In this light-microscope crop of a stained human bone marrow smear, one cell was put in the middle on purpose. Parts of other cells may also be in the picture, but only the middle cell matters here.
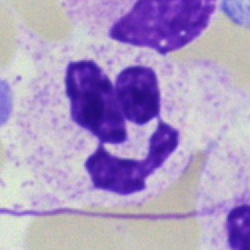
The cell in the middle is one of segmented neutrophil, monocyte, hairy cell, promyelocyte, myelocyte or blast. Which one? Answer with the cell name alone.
segmented neutrophil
